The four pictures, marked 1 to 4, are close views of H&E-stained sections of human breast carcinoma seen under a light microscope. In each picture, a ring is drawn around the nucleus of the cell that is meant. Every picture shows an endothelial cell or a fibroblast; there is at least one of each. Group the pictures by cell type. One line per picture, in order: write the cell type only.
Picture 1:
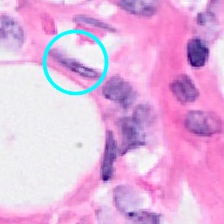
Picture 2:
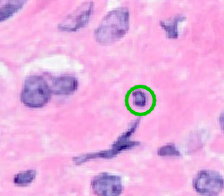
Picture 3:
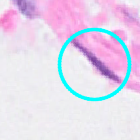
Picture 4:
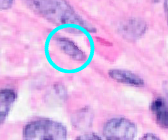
endothelial cell
endothelial cell
fibroblast
endothelial cell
